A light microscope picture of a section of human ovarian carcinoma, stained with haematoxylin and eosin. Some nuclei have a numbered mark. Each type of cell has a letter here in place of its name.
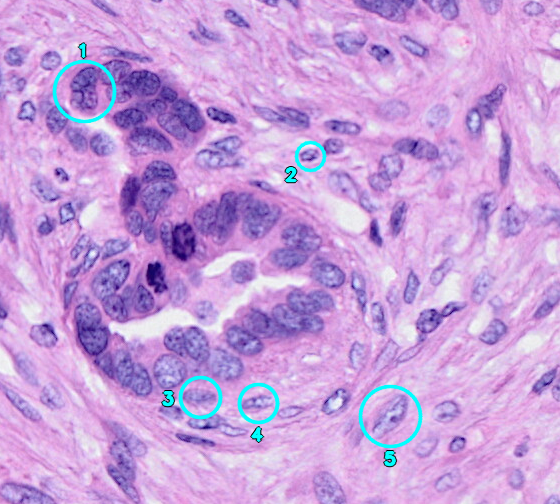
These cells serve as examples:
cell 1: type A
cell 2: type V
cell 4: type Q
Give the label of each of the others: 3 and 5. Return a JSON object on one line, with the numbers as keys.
{"3": "type Q", "5": "type Q"}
